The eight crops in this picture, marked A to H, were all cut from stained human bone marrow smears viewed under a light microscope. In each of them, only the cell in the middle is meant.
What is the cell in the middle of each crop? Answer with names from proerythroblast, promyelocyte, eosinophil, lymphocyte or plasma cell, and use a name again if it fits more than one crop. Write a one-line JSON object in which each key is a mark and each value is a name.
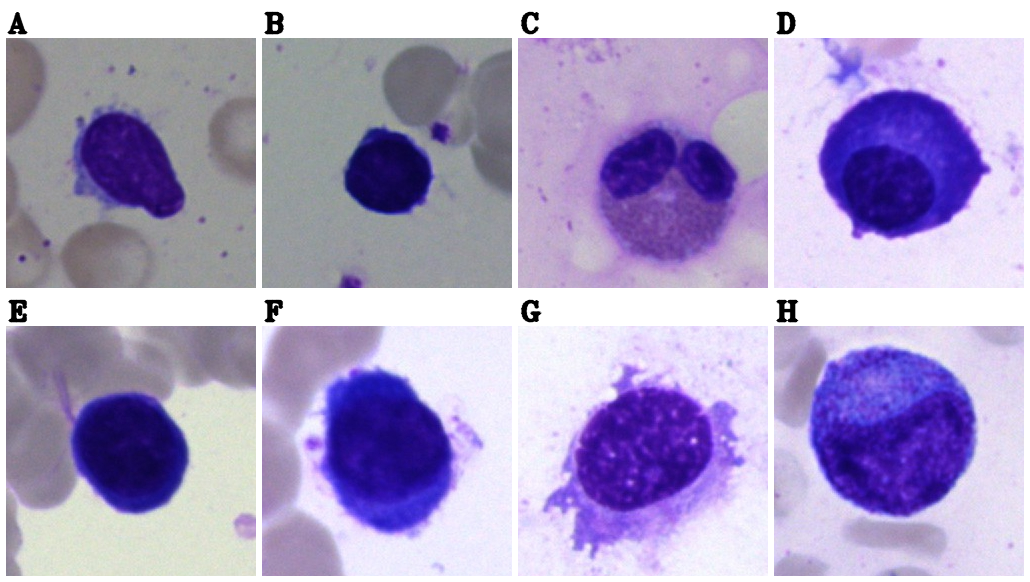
{"A": "lymphocyte", "B": "lymphocyte", "C": "eosinophil", "D": "plasma cell", "E": "lymphocyte", "F": "plasma cell", "G": "plasma cell", "H": "promyelocyte"}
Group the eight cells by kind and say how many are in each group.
lymphocyte: 3
plasma cell: 3
eosinophil: 1
promyelocyte: 1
